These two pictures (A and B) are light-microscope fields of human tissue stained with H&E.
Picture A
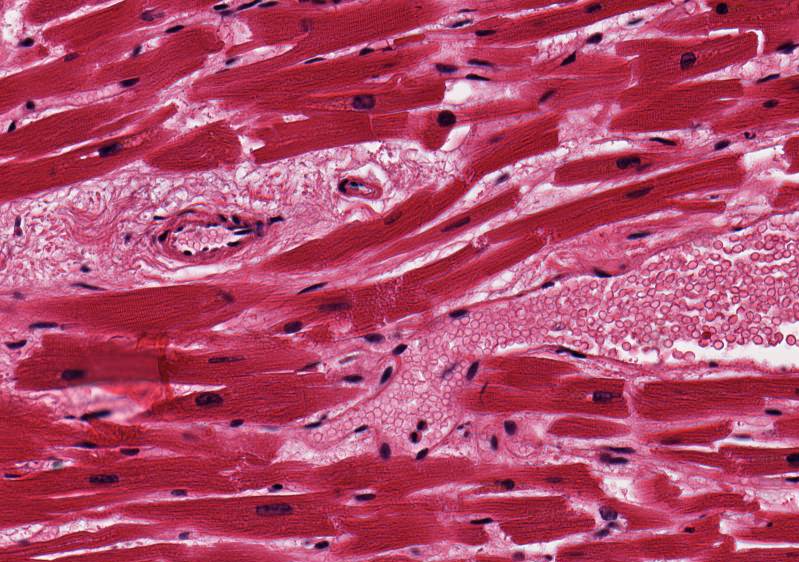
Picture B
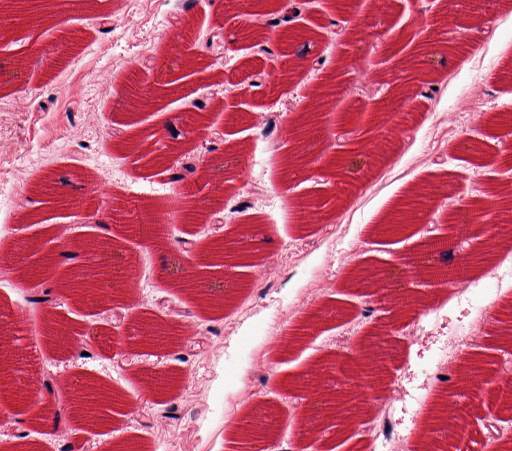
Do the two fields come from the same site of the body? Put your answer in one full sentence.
Yes, both come from the left ventricle of the heart.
